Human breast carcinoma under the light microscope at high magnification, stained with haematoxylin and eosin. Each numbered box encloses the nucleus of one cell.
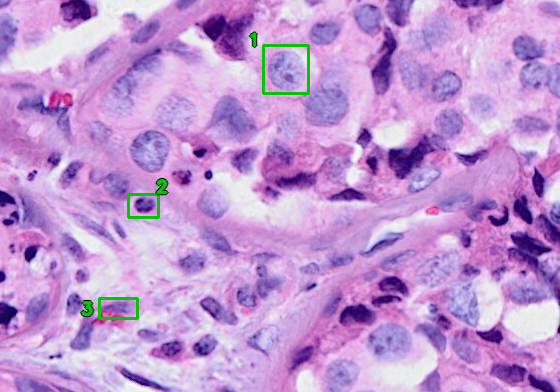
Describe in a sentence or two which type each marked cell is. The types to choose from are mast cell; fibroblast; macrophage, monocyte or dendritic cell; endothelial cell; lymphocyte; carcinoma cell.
Cell 1 is a carcinoma cell, cell 2 is a mast cell and cell 3 is an endothelial cell.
